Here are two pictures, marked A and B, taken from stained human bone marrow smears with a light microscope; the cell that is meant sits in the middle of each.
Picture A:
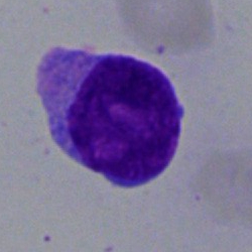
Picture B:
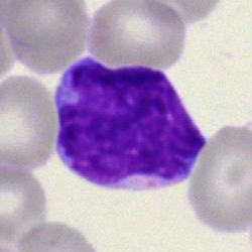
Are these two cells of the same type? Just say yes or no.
yes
